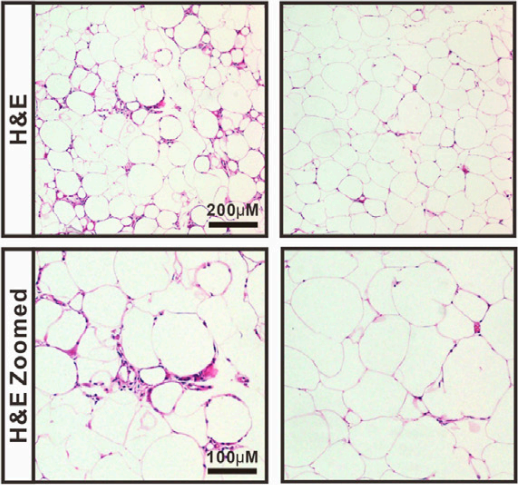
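This is white adipose tissue made up of closely packed adipocytes. Each adipocyte has one large empty space, left where its lipid was, bounded by a thin pink rim of cytoplasm, with a small flattened nucleus at the edge. In the left column the adipocytes vary more in size, and some are small. Between them lie clusters of small, dark purple nuclei. In the right column the adipocytes are larger and more uniform, with few cells between them.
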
